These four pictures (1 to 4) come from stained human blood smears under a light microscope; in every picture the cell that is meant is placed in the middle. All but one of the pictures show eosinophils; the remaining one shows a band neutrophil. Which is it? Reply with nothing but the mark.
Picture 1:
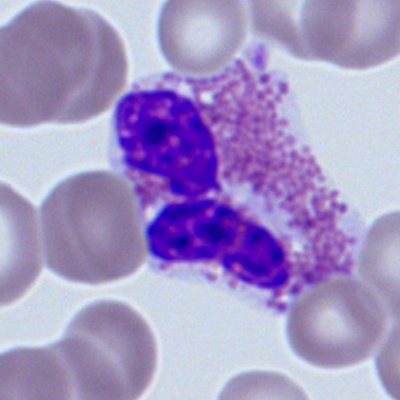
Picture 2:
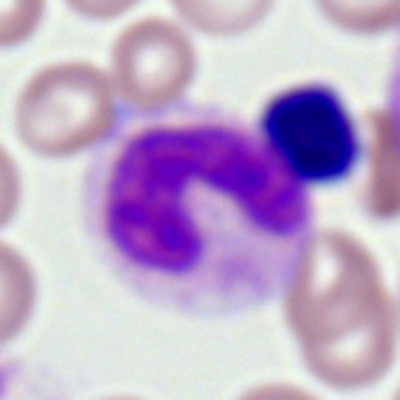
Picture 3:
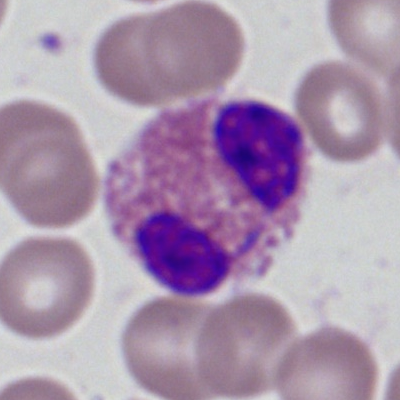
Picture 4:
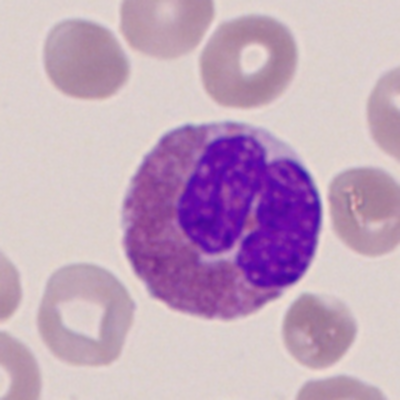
2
